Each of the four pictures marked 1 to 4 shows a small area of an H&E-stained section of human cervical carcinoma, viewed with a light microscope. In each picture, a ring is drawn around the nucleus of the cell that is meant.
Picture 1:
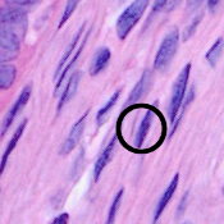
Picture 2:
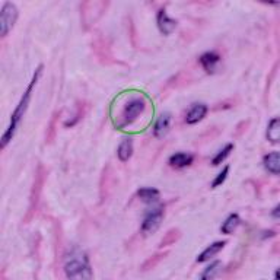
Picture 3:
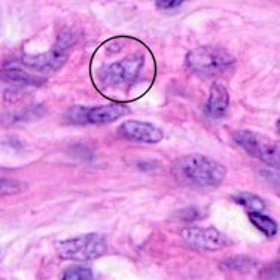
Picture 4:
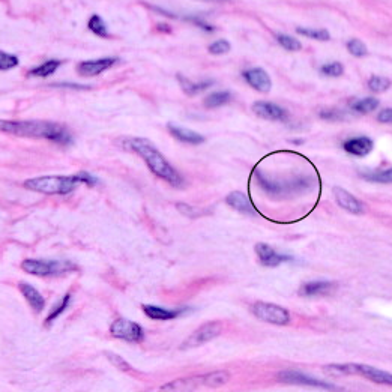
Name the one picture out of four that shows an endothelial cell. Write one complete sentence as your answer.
The picture with the endothelial cell is 3.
